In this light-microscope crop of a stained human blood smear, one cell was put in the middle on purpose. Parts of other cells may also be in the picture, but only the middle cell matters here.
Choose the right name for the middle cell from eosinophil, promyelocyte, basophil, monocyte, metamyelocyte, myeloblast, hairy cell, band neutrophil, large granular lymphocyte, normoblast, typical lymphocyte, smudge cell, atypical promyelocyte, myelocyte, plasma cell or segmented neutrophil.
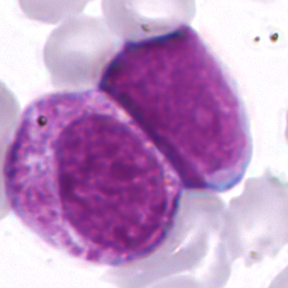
myelocyte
